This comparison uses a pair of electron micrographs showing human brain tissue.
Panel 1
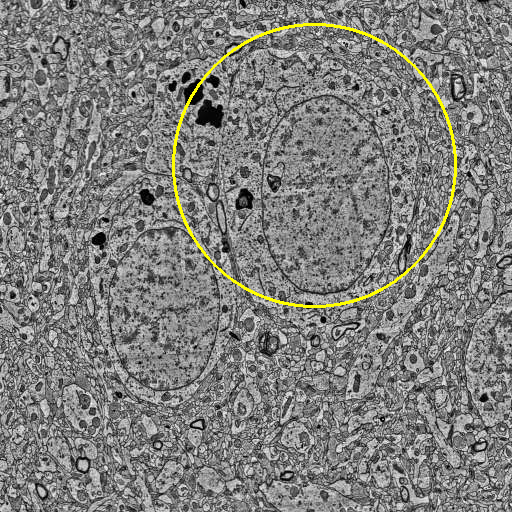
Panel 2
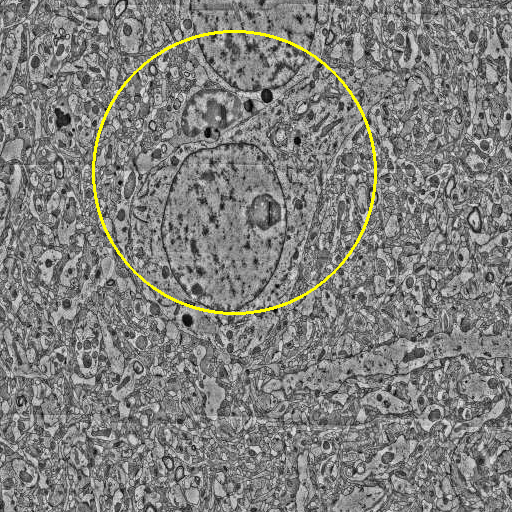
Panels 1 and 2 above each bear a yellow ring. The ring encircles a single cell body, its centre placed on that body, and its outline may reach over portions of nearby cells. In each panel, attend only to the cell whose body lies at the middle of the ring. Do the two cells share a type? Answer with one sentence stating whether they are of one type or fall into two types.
In Panel 1 and Panel 2, the cells at the centres of the rings are of one type.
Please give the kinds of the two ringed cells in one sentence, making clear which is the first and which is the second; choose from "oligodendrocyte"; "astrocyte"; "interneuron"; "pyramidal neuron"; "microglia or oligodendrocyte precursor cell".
Each cell at the centre of a ring is a pyramidal neuron.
